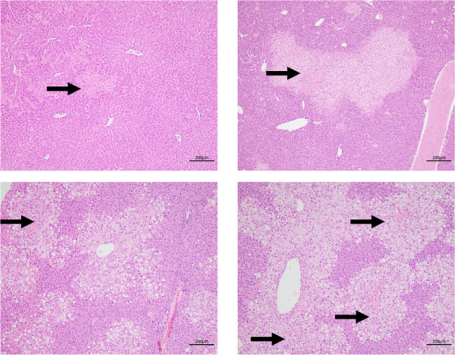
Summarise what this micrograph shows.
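The hepatocytes form a continuous pink sheet in which small round vessel lumina lie scattered. Irregular, geographic patches stain paler than the surrounding tissue, and arrows point to them; in these areas the normal pattern of the liver cords is lost. In the lower row the tissue looks pale and finely vacuolated over wide areas, and the pale patches are larger and more numerous. The darker pink, better preserved tissue lies in bands between these patches.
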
